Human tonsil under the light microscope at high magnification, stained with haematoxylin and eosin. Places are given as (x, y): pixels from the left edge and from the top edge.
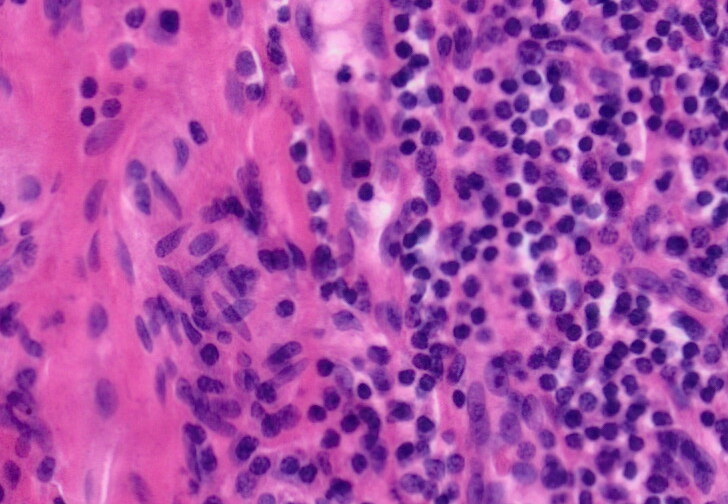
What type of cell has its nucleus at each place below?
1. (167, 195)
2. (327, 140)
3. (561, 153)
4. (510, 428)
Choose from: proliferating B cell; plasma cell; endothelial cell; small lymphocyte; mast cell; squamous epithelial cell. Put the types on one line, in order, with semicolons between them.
endothelial cell; endothelial cell; plasma cell; endothelial cell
